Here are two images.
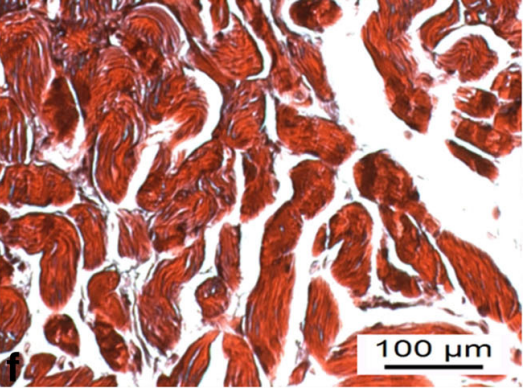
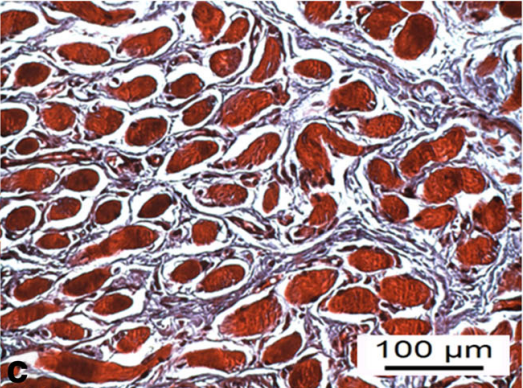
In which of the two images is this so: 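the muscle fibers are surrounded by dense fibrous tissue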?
the second image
